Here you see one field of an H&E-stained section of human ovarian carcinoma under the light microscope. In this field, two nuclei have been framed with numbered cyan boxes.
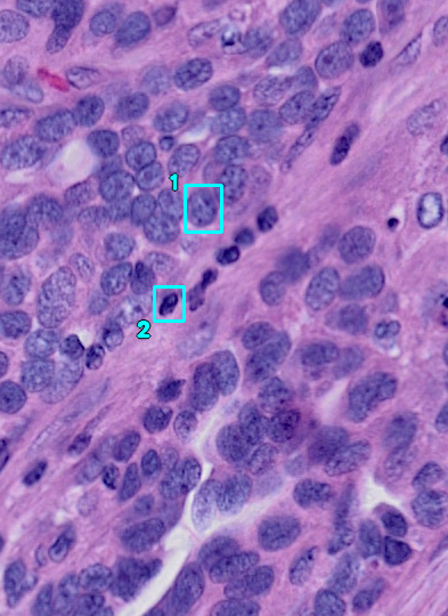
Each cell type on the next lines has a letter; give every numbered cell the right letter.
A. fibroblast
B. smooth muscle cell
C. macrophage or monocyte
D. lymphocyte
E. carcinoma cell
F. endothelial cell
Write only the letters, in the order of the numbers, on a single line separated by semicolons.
E; D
